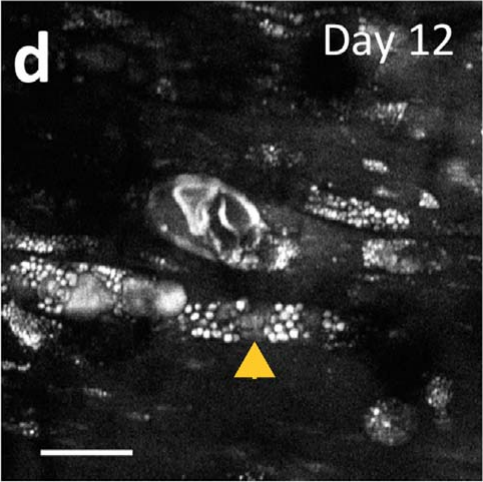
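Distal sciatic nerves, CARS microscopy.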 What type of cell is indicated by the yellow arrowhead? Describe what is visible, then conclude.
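The arrowhead points to a cluster of many small bright round droplets.
Hence: macrophage-like cell.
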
